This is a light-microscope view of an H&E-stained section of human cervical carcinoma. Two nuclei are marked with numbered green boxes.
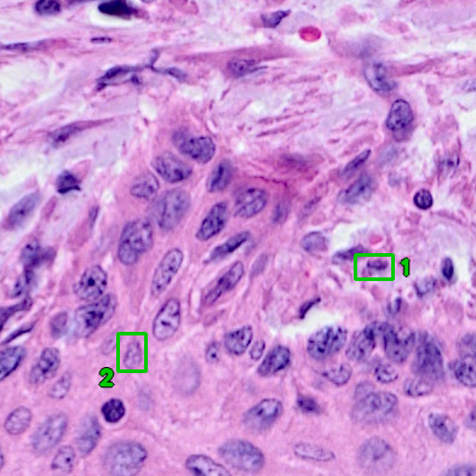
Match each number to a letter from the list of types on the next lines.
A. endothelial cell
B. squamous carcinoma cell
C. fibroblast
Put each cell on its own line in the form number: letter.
1: C
2: B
